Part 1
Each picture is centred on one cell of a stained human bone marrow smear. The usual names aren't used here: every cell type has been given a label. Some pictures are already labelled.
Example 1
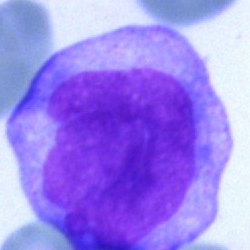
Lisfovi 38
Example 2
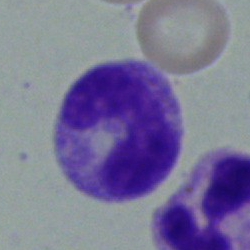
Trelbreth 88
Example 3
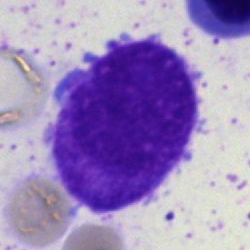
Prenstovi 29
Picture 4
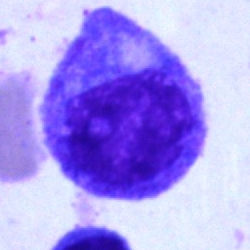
Prenstovi 29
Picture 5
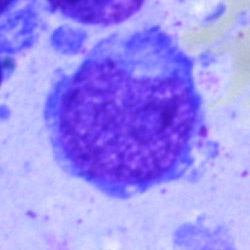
Lisfovi 38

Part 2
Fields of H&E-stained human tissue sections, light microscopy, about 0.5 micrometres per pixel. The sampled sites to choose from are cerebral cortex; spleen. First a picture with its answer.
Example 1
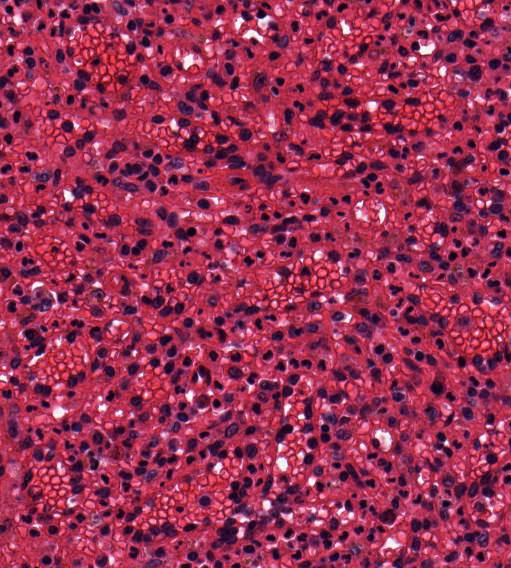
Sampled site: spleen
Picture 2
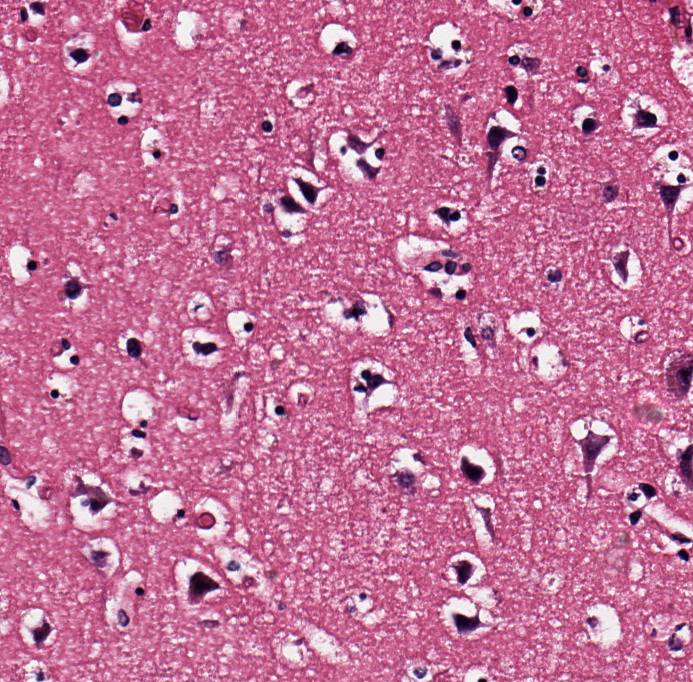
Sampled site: cerebral cortex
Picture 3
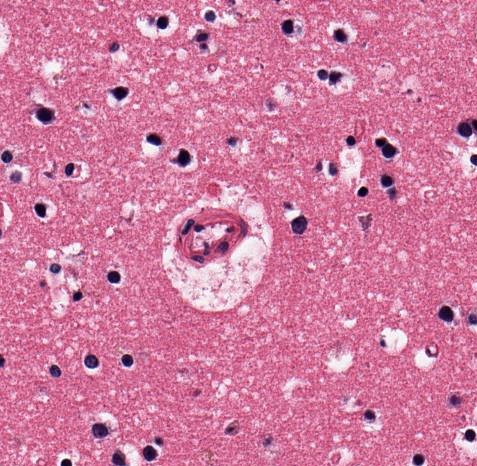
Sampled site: cerebral cortex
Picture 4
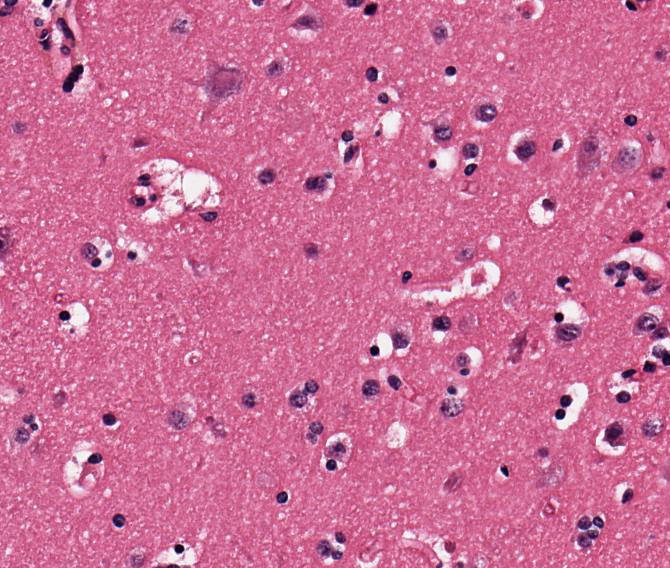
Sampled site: cerebral cortex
